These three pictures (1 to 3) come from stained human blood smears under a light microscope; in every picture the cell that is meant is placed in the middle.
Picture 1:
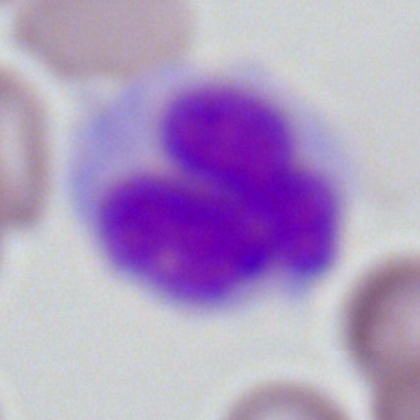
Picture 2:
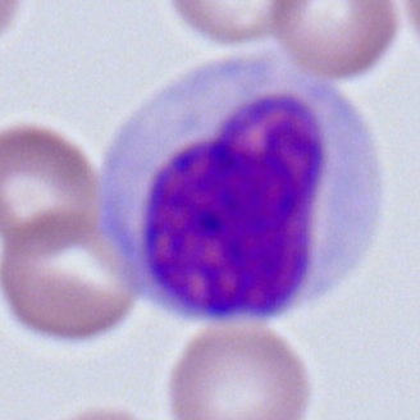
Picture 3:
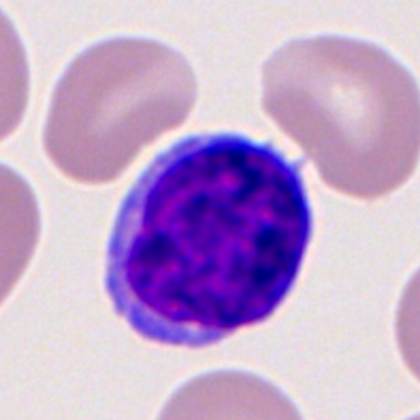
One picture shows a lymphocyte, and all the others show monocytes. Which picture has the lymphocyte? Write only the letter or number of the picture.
3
